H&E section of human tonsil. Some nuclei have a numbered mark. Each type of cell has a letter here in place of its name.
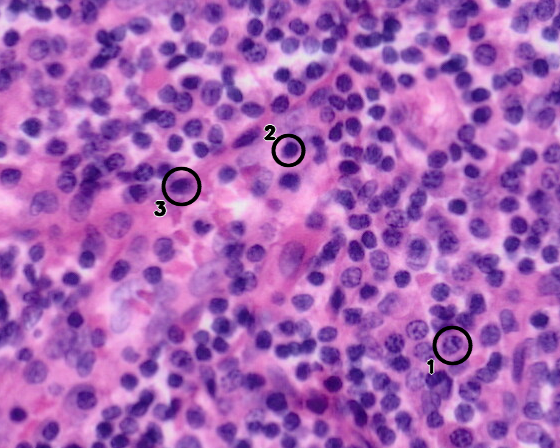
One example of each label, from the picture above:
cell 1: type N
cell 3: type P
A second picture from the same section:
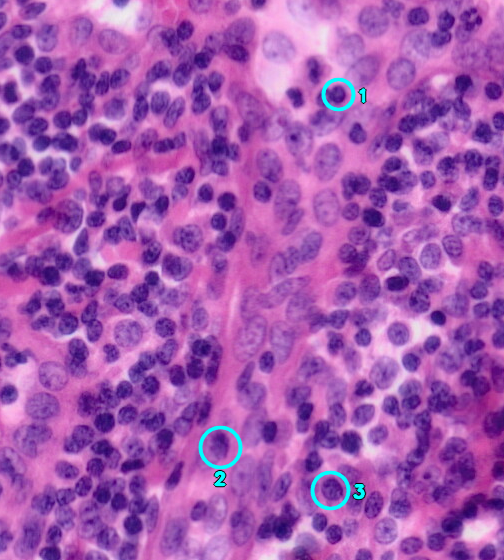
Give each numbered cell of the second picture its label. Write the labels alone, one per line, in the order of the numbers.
type P
type P
type N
